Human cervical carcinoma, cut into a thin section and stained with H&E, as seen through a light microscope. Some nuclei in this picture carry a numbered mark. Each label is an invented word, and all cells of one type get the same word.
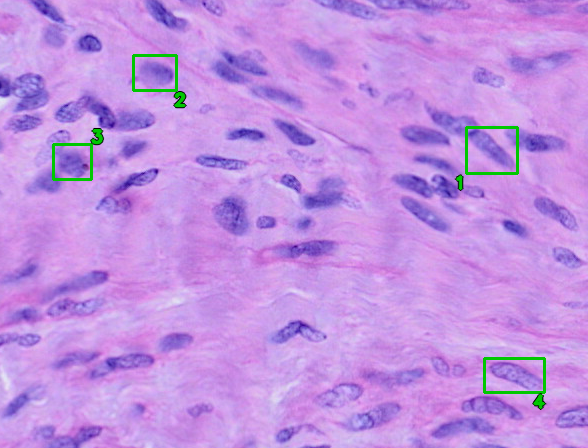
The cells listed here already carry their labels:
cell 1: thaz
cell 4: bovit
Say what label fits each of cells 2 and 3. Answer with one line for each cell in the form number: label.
2: thaz
3: thaz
